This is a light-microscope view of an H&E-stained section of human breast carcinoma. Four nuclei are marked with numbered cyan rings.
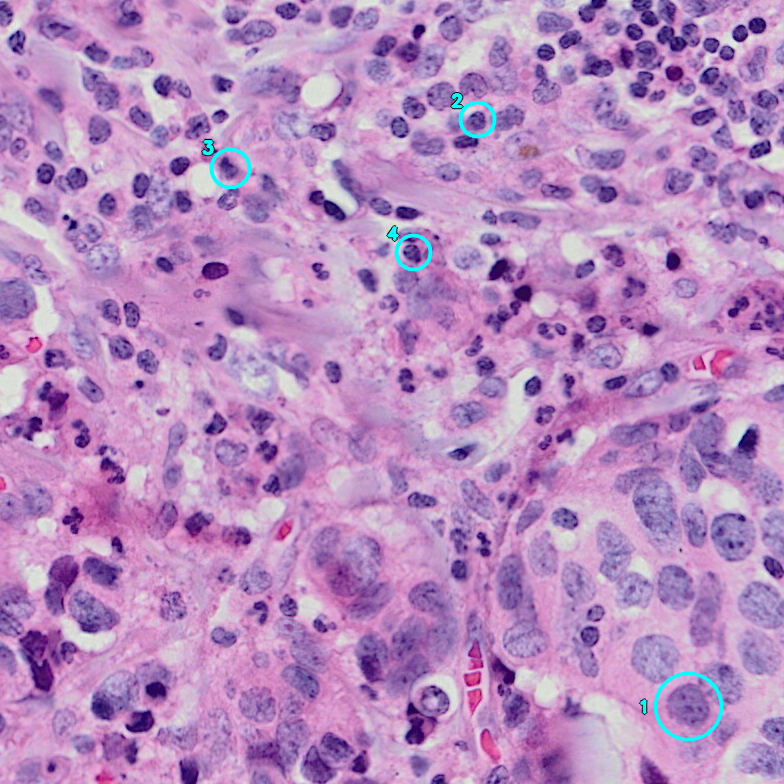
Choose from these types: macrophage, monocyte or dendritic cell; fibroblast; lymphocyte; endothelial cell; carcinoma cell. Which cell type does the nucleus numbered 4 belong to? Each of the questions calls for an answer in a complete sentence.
In the marked set, the cell given number 4 is a lymphocyte.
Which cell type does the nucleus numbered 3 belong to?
Looking at the numbered marks, cell 3 is a lymphocyte.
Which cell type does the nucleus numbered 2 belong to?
Nucleus 2 in this section belongs to a lymphocyte.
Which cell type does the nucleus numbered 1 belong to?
The cell that is numbered 1 is a carcinoma cell.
